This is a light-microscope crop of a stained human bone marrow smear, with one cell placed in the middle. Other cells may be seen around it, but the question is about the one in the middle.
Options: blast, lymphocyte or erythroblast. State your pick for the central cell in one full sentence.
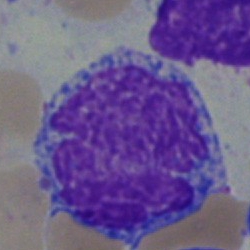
The cell centred in this crop is categorized as a blast.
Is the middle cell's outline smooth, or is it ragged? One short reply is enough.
This cell has an uneven outline, either ragged or bearing projections.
